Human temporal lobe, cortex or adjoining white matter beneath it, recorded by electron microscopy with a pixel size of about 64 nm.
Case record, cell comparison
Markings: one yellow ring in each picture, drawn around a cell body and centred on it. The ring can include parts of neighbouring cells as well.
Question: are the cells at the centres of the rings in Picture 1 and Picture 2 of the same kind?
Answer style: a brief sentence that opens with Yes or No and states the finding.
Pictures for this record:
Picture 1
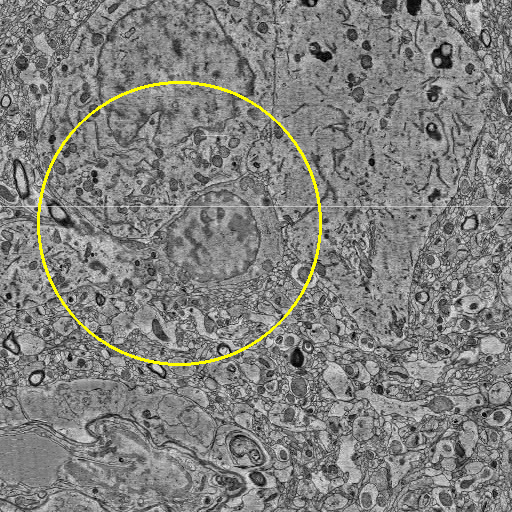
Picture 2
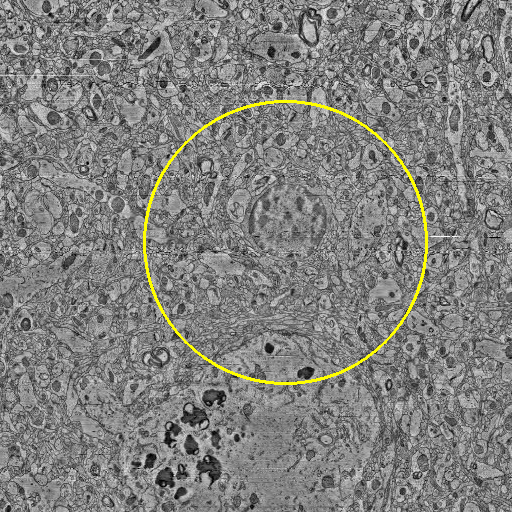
Yes, the cells in Picture 1 and Picture 2 are of the same kind.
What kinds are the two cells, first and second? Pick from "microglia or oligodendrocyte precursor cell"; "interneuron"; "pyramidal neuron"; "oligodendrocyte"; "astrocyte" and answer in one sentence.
Each cell, in the first picture and the second, is an oligodendrocyte.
